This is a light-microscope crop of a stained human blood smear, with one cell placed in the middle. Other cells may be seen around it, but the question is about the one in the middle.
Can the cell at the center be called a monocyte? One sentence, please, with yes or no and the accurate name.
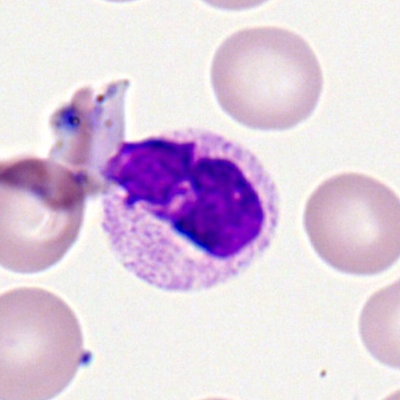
No, the cell at the center of this crop is a segmented neutrophil instead of a monocyte.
